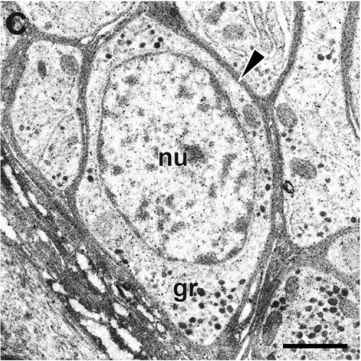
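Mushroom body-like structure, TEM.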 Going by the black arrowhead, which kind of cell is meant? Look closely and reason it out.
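Glia. The arrowhead points to a thin dark sheath running around the cell body. The dark sheath separates adjacent cell bodies.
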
